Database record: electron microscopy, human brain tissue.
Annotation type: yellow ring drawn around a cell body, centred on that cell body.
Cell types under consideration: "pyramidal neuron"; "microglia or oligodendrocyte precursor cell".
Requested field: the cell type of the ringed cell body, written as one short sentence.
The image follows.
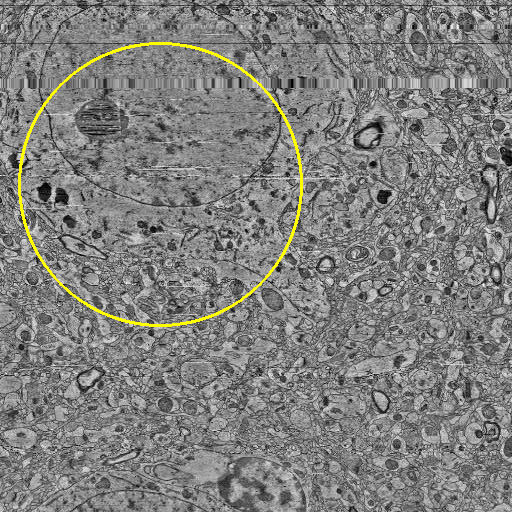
The ringed cell body represents a pyramidal neuron.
